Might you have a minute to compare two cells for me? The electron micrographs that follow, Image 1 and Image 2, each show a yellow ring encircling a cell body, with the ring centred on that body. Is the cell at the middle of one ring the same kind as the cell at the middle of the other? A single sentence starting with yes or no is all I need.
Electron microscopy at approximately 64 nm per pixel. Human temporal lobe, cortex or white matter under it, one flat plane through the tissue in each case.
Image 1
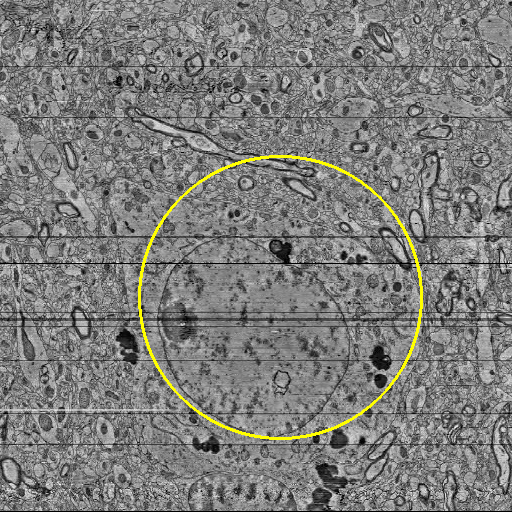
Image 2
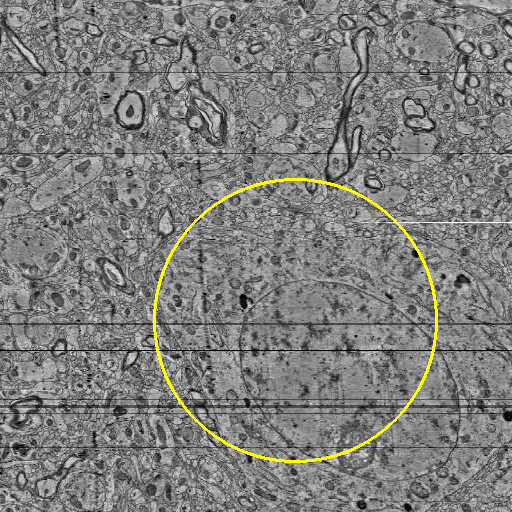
Yes, the cells in the middle of the two rings are of one shared kind.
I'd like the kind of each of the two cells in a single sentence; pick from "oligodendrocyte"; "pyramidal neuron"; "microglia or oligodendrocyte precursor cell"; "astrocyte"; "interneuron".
Each of the two rings surrounds a pyramidal neuron.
